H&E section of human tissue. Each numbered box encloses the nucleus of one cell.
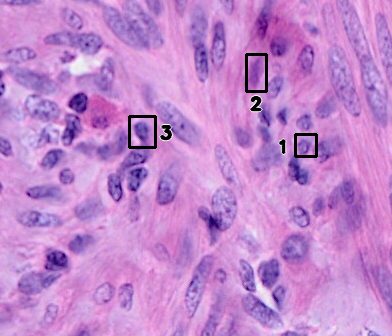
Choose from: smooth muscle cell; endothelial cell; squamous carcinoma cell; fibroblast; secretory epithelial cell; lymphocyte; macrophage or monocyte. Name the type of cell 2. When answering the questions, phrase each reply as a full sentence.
Regarding cell 2, this one is a smooth muscle cell.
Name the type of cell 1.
The numbered cell 1 is identified here as a smooth muscle cell.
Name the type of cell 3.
In this section, the cell tagged 3 is a lymphocyte.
